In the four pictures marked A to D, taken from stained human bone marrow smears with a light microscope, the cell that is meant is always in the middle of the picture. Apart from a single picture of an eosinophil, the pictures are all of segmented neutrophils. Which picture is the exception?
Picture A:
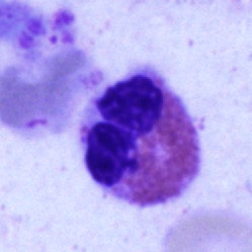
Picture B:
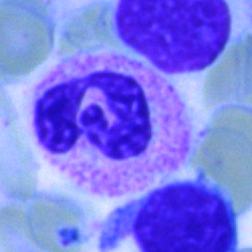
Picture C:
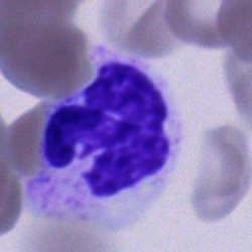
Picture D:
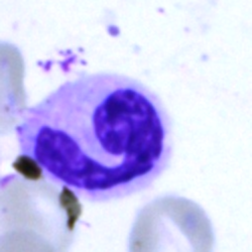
A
